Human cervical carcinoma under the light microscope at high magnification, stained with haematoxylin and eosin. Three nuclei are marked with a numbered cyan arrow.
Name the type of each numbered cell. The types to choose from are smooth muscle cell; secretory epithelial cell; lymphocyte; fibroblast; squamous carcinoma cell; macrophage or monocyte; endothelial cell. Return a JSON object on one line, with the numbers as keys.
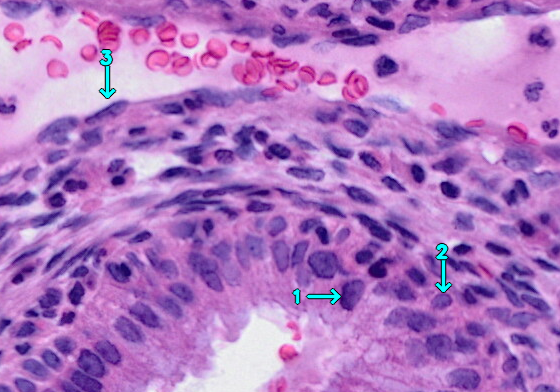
{"1": "secretory epithelial cell", "2": "secretory epithelial cell", "3": "endothelial cell"}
